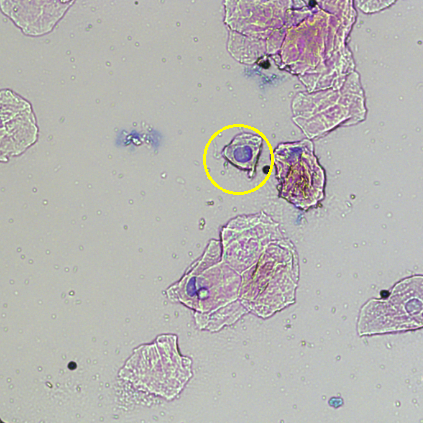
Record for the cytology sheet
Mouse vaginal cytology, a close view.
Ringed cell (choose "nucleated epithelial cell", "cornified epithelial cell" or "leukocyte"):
nucleated epithelial cell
